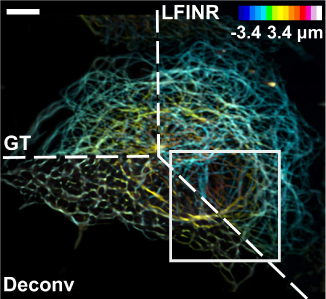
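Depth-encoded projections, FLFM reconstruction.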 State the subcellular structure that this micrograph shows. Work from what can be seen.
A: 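A dense network of long, fine, unbranched filaments fills a spread cell. Filaments are thin and curve across the whole cell.
Conclusion: microtubules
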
